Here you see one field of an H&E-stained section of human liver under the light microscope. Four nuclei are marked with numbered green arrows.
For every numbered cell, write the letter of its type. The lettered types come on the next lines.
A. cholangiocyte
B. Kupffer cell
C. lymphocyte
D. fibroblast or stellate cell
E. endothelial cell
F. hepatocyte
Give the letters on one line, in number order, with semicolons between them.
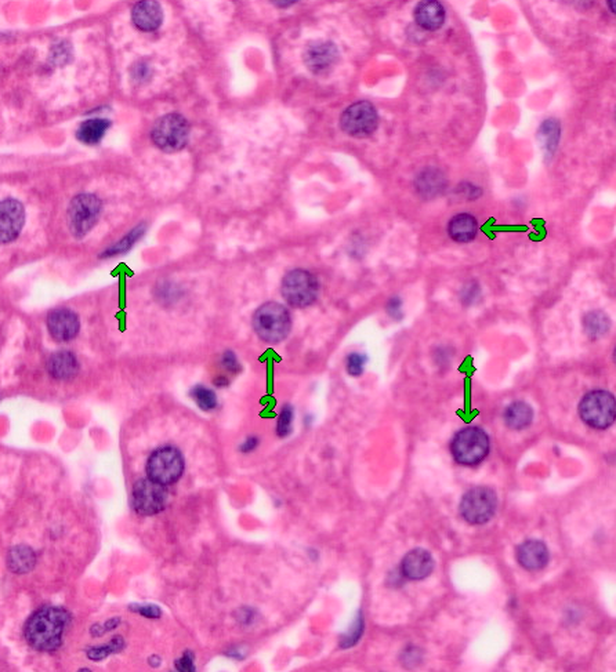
B; F; F; F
